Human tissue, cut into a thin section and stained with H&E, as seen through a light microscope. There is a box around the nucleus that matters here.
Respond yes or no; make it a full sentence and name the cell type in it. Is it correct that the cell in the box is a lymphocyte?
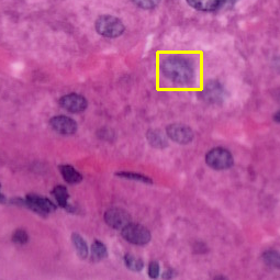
No, sorry, but the cell in the box is a hepatocyte and not a lymphocyte.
